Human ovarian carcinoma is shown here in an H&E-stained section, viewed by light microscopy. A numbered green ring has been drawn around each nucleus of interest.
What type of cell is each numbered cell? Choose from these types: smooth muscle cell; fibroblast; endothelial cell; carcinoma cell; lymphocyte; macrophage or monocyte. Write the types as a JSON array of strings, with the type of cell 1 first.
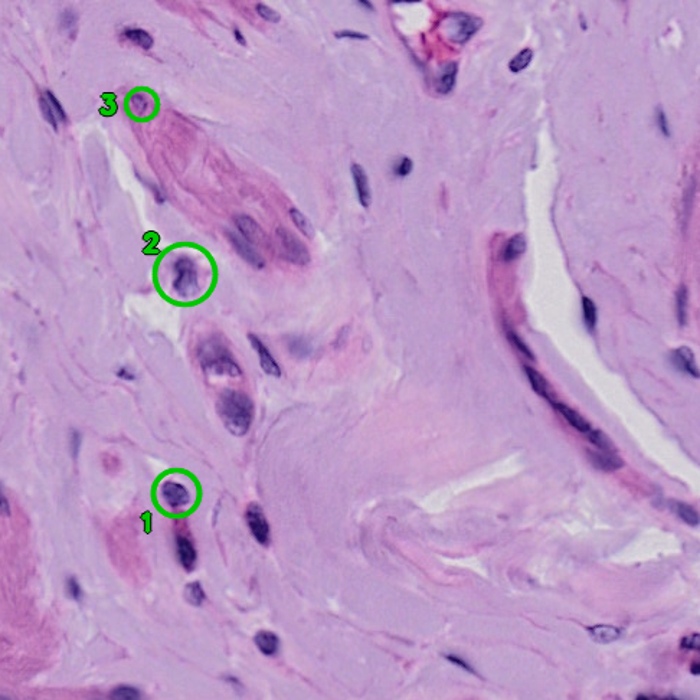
["lymphocyte", "macrophage or monocyte", "smooth muscle cell"]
